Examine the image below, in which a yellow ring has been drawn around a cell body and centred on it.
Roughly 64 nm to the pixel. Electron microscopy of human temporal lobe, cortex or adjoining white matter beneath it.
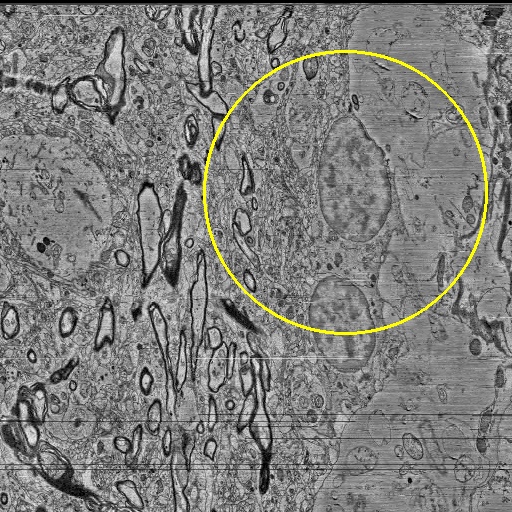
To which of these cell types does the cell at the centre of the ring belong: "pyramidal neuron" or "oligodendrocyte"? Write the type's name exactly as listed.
oligodendrocyte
